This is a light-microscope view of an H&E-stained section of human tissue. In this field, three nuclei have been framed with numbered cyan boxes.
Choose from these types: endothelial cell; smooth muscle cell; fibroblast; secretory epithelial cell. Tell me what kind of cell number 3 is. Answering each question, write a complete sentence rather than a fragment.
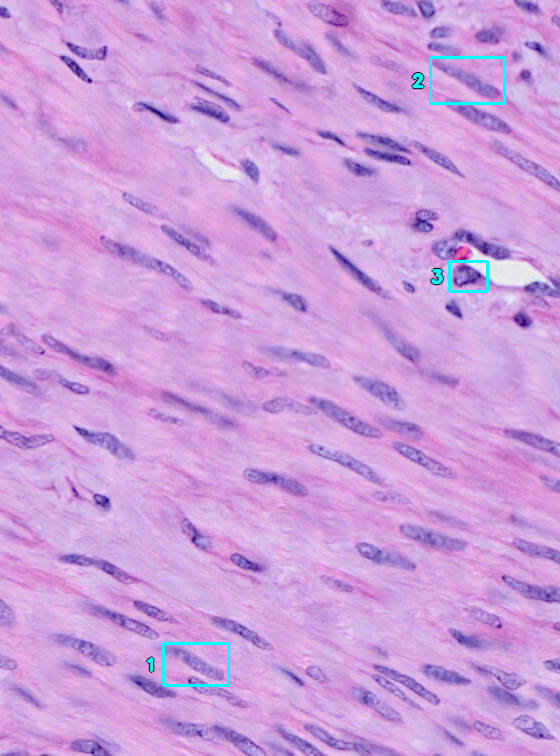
Identified as an endothelial cell is the cell bearing the number 3.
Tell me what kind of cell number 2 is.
Cell 2 in the field of view is a smooth muscle cell.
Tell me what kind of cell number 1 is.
Here, the cell given the number 1 is a smooth muscle cell.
